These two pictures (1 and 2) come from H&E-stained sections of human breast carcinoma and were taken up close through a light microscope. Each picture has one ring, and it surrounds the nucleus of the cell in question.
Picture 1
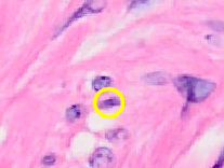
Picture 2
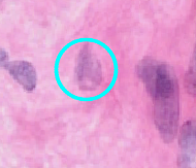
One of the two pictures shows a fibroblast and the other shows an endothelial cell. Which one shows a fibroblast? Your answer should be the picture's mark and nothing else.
2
